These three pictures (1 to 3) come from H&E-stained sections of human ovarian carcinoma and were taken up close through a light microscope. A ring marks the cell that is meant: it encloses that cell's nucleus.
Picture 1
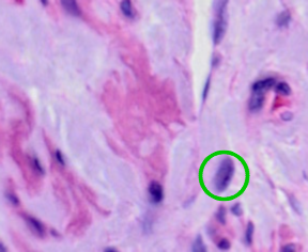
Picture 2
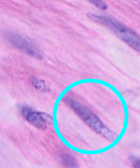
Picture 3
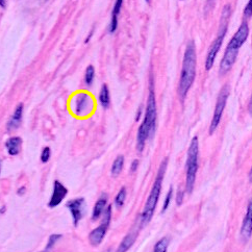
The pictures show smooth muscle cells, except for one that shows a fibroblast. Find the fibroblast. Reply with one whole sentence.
Picture 1 is the one that shows the fibroblast.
